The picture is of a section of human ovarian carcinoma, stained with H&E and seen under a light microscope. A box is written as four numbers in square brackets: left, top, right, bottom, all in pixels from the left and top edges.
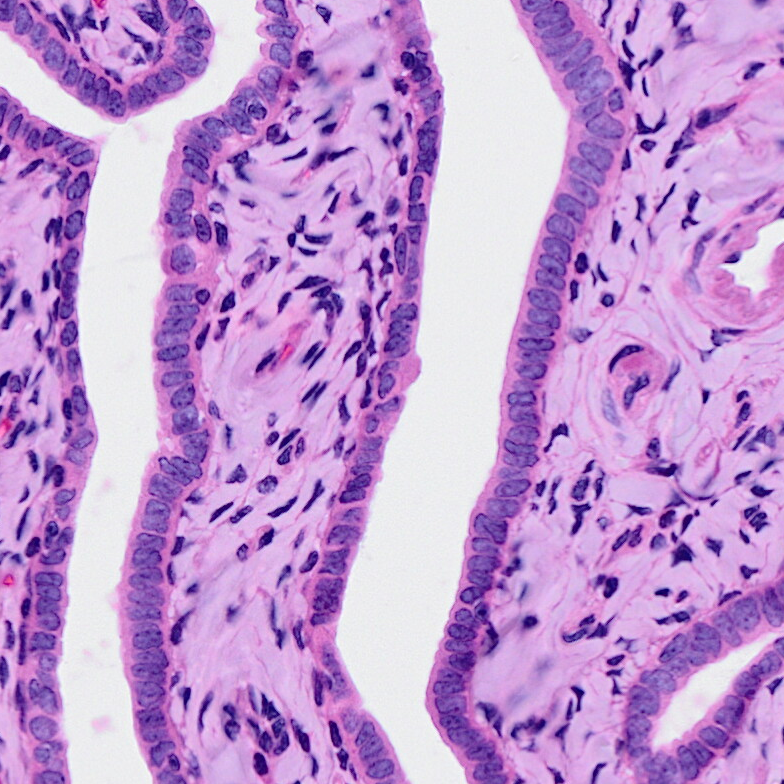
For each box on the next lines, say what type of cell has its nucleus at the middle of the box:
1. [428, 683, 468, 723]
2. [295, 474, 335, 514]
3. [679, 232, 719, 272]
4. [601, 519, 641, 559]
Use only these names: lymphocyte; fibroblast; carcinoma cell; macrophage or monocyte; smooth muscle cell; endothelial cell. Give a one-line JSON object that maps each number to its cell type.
{"1": "carcinoma cell", "2": "fibroblast", "3": "smooth muscle cell", "4": "endothelial cell"}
